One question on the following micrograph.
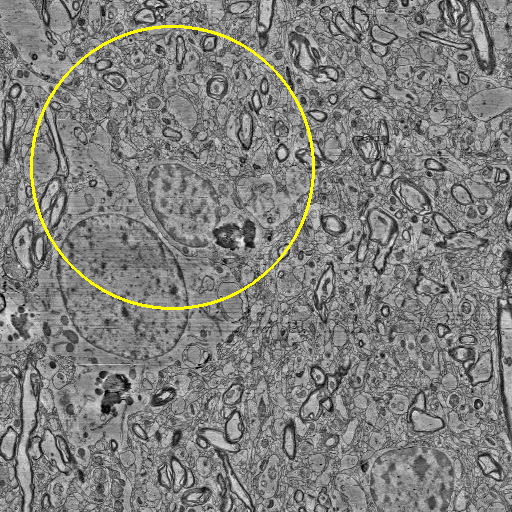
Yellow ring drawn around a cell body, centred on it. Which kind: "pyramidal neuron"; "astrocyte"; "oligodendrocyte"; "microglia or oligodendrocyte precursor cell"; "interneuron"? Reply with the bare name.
oligodendrocyte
